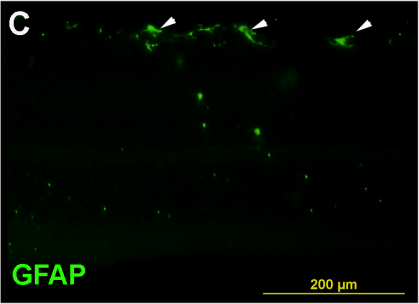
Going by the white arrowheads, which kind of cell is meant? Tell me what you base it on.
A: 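Astrocytes. Small green cells with short branching processes lie along the inner surface of the tissue. The rest of the section is nearly free of green signal.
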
